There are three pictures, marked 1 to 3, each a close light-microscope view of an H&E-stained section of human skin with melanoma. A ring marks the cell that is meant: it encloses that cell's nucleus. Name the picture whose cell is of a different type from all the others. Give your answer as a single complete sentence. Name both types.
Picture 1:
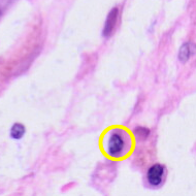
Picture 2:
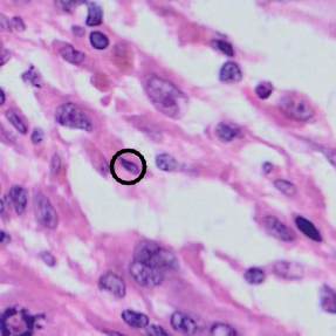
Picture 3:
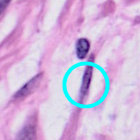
Unlike the rest, which show “macrophages or monocytes”, picture 3 shows a “fibroblast or myofibroblast”.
